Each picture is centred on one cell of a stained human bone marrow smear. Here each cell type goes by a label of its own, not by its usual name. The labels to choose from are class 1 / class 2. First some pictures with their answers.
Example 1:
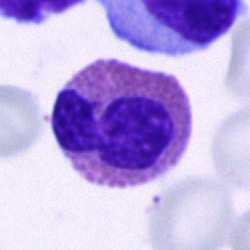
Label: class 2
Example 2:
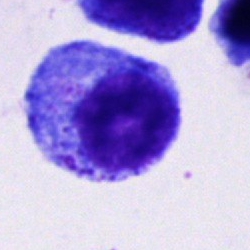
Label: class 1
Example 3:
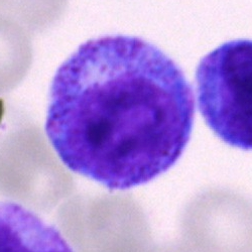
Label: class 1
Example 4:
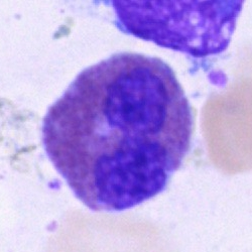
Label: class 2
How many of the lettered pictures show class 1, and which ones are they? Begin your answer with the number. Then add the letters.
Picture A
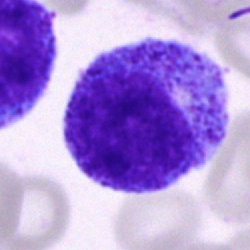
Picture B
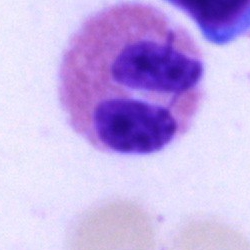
1: A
